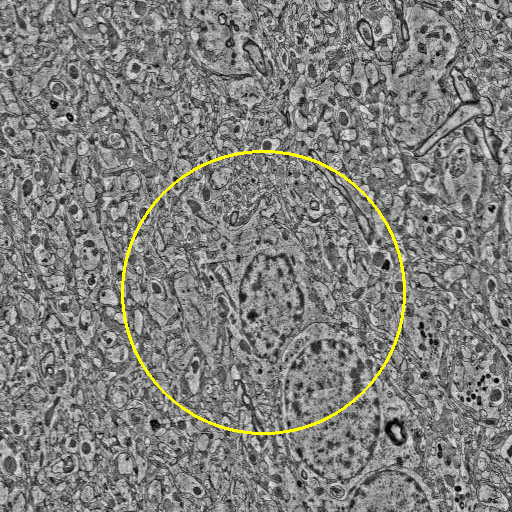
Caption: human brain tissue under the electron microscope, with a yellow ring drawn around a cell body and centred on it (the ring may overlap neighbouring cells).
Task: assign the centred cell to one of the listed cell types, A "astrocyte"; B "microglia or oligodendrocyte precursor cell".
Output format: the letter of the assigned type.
A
